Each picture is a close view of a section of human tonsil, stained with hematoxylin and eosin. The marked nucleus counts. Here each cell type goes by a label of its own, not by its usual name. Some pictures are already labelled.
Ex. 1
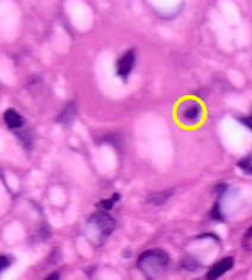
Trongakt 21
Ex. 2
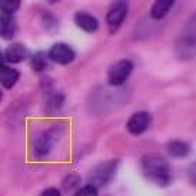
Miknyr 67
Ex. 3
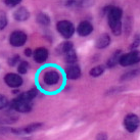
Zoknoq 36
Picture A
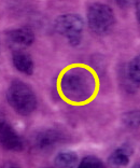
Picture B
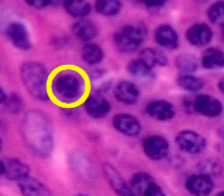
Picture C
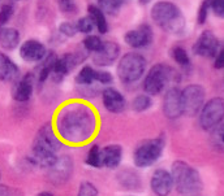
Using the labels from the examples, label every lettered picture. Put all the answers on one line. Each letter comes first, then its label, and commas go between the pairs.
A Trongakt 21, B Zoknoq 36, C Miknyr 67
